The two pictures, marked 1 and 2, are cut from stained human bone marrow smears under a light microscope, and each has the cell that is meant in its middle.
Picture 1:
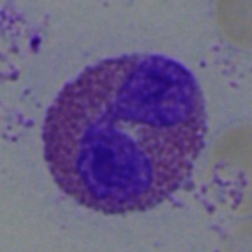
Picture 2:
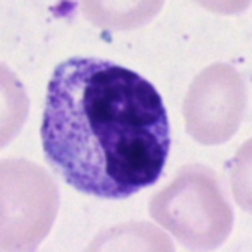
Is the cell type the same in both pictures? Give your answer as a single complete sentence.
No, picture 1 shows an eosinophil and picture 2 shows a metamyelocyte.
